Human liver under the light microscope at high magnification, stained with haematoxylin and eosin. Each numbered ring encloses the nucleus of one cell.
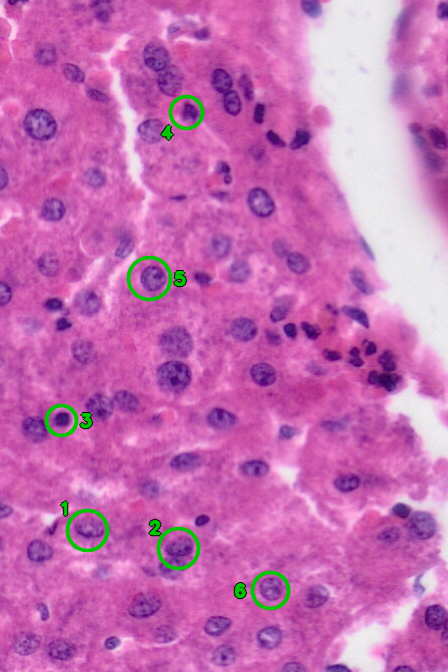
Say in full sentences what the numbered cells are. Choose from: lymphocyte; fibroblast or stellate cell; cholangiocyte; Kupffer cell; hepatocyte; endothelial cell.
Cell 1 is a hepatocyte, cell 2 is a hepatocyte, cell 3 is a lymphocyte, cell 4 is an endothelial cell, cell 5 is a hepatocyte and cell 6 is a hepatocyte.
